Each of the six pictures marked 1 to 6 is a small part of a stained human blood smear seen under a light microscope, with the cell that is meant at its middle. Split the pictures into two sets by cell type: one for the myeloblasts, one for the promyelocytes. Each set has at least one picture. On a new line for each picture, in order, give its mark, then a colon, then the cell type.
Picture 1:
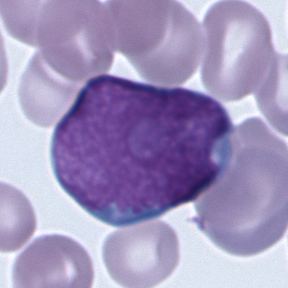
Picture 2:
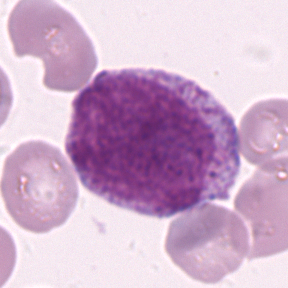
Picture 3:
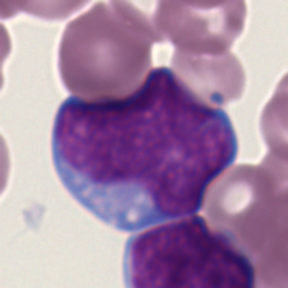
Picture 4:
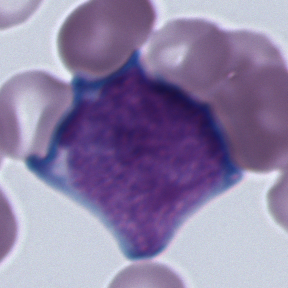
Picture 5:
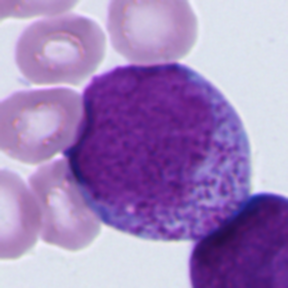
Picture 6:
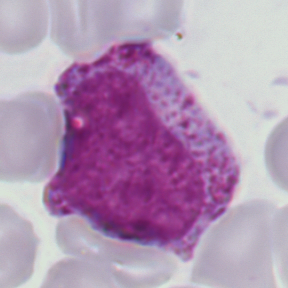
1: myeloblast
2: promyelocyte
3: myeloblast
4: myeloblast
5: promyelocyte
6: promyelocyte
